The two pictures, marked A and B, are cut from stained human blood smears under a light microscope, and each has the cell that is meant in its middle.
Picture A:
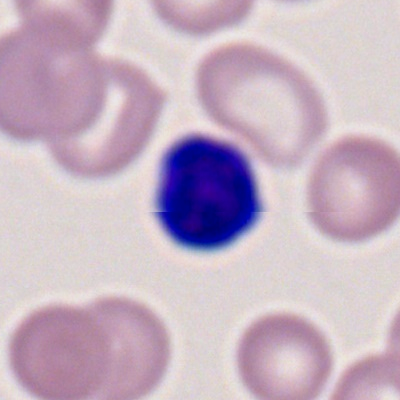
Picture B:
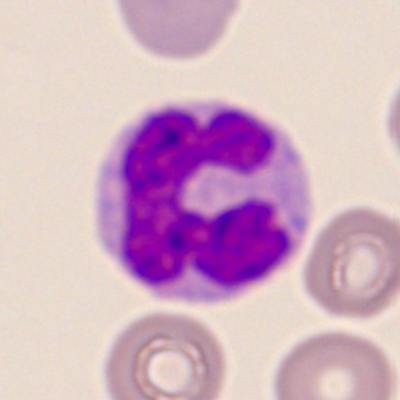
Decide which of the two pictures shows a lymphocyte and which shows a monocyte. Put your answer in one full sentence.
It is picture A that shows a lymphocyte, and picture B that shows a monocyte.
